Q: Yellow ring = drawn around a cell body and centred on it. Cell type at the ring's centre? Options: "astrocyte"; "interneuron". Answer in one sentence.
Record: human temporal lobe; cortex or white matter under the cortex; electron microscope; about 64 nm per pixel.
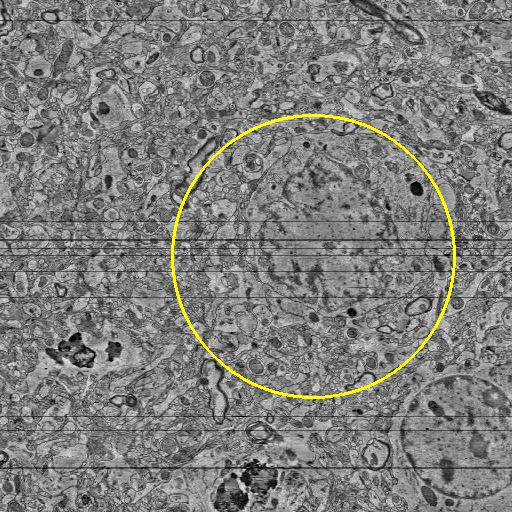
Centred in the ring is an interneuron.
